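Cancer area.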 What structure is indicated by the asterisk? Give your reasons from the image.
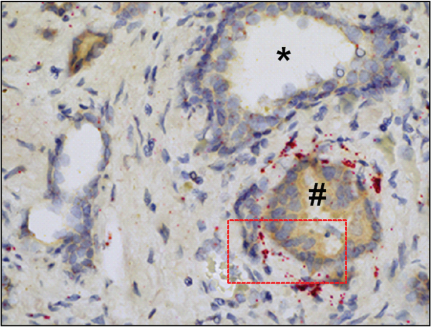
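The asterisk lies in a gland with a wide open lumen. The gland's lining cells have pale, barely brown cytoplasm. Few red dots lie in the stroma next to this gland. So: benign gland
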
